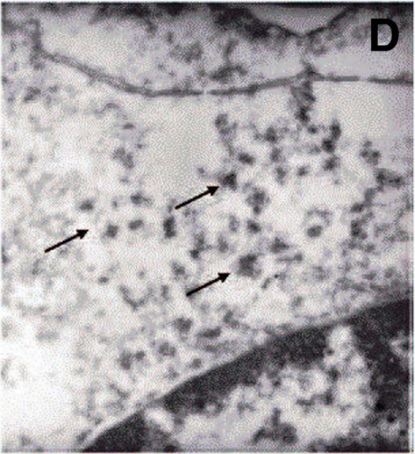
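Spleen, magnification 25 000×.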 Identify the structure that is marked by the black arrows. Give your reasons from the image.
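The arrows point to small dark irregular clumps. The clumps are scattered through a paler granular cytoplasm. The edge of a nucleus with dark chromatin lies at the lower right.
Hence: small electron-dense aggregates.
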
